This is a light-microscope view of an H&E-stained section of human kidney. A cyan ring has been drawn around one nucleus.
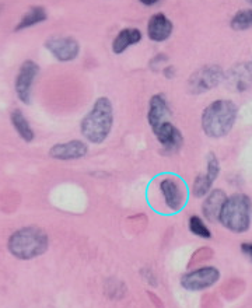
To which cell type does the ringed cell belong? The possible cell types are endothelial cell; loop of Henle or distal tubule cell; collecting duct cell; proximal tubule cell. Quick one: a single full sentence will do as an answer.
It is as an endothelial cell that the ringed cell is classified.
